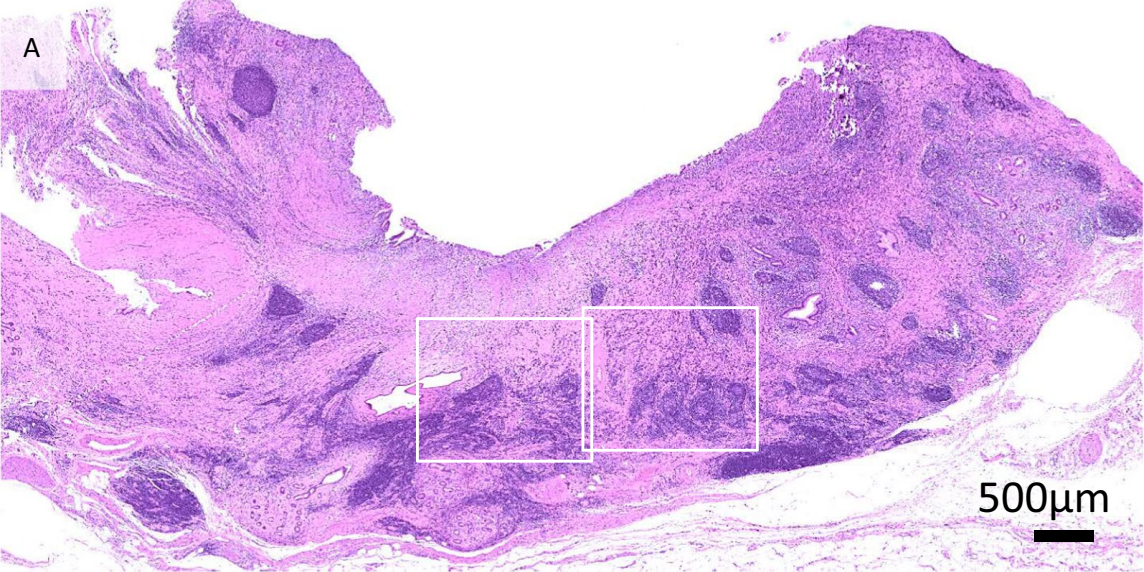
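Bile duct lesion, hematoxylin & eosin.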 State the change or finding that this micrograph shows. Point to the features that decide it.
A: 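Dense fibrosis. Much of the wall is replaced by pink, compact fibrous tissue. Scattered dark purple clusters of inflammatory cells lie within the pink fibrous tissue.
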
